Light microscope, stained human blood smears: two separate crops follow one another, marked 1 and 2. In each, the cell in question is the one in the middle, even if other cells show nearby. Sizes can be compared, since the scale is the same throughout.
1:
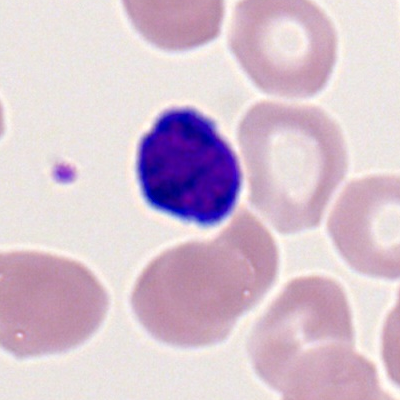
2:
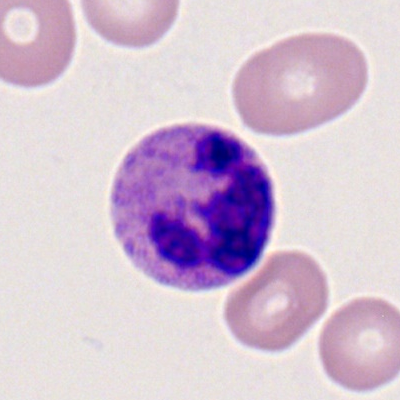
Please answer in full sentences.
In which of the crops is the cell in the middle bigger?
The cell in crop 2 is larger, with about 2 times the area of the one in crop 1.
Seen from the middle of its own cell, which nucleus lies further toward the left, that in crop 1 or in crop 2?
The nucleus in crop 1 lies further toward the left of its cell.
